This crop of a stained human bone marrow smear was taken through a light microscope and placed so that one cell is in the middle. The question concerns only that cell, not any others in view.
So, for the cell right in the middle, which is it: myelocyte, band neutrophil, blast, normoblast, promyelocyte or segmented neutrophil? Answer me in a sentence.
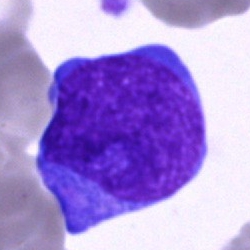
The crop shows a blast in its centre.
